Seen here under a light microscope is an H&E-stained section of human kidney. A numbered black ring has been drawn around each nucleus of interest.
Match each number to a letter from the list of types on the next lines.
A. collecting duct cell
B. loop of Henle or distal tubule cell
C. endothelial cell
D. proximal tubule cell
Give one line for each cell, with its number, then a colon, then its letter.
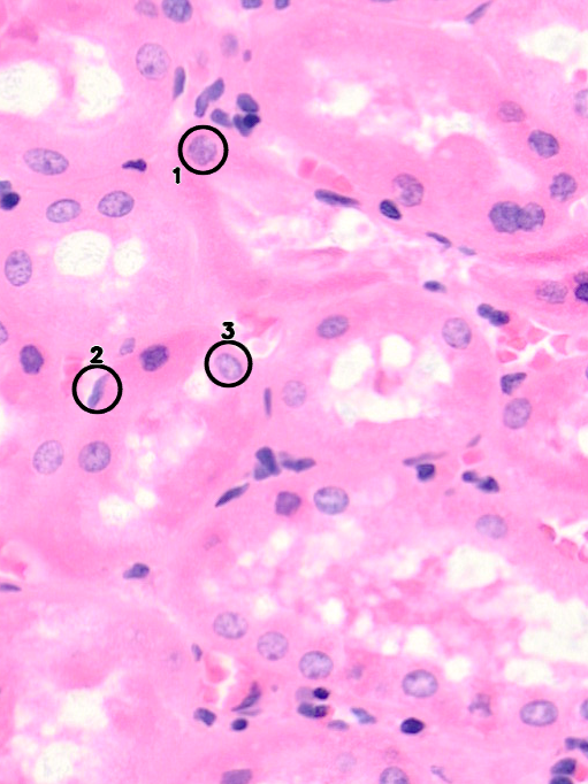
1: D
2: C
3: D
